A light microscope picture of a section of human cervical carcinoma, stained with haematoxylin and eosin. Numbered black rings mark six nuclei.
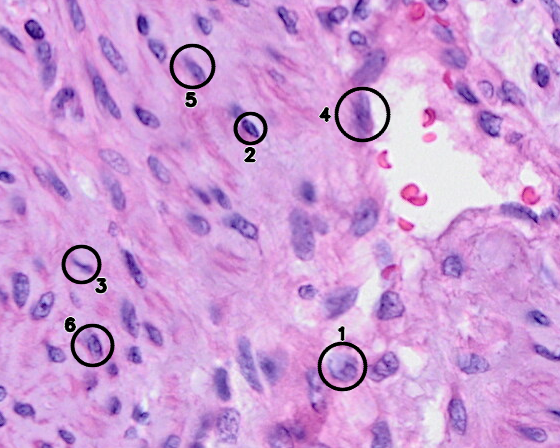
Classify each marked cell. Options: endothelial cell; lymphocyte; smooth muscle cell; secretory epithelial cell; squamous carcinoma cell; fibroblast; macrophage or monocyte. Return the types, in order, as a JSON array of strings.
["endothelial cell", "lymphocyte", "smooth muscle cell", "endothelial cell", "smooth muscle cell", "smooth muscle cell"]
